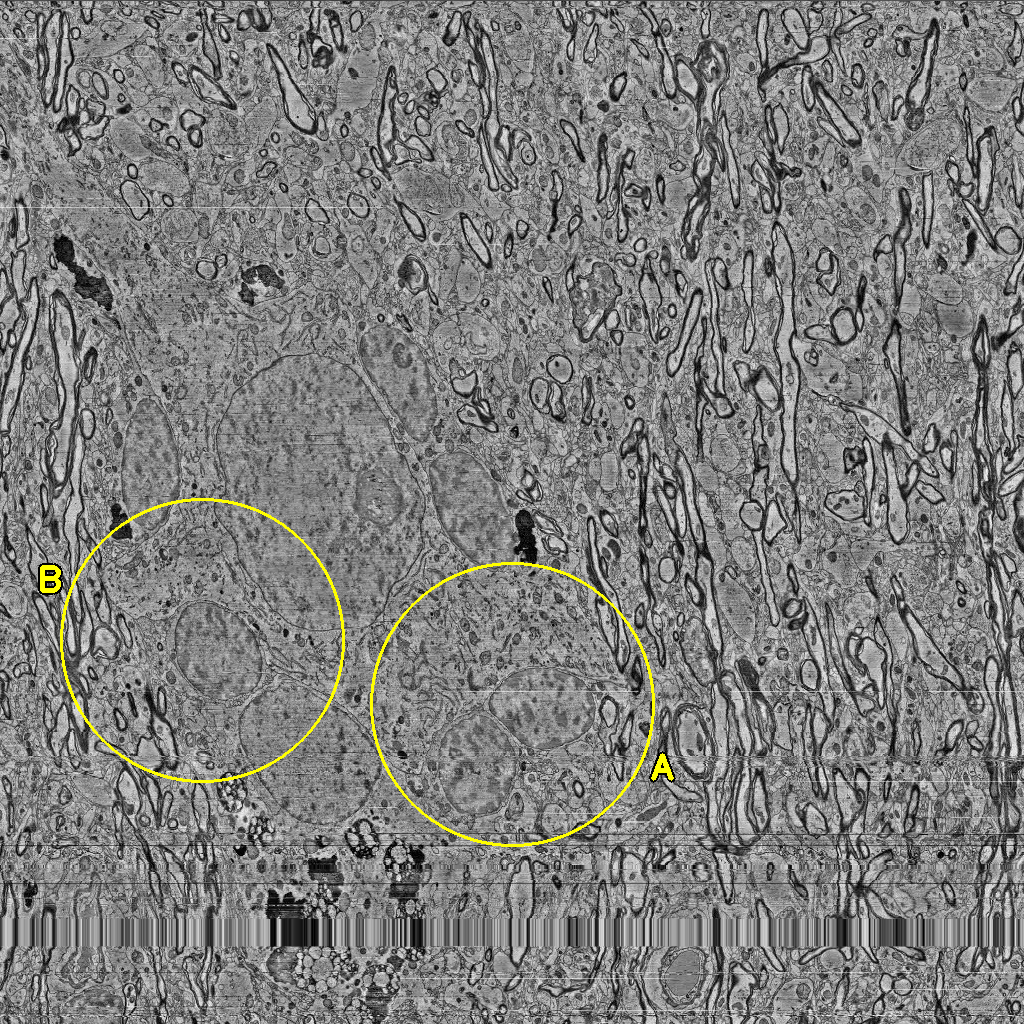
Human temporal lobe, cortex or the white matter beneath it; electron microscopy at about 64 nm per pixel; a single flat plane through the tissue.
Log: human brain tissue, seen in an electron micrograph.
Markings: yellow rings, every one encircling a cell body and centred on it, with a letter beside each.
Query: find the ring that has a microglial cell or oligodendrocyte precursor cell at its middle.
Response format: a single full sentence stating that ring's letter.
The letter A marks the ring centred on the cell asked for in the image.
